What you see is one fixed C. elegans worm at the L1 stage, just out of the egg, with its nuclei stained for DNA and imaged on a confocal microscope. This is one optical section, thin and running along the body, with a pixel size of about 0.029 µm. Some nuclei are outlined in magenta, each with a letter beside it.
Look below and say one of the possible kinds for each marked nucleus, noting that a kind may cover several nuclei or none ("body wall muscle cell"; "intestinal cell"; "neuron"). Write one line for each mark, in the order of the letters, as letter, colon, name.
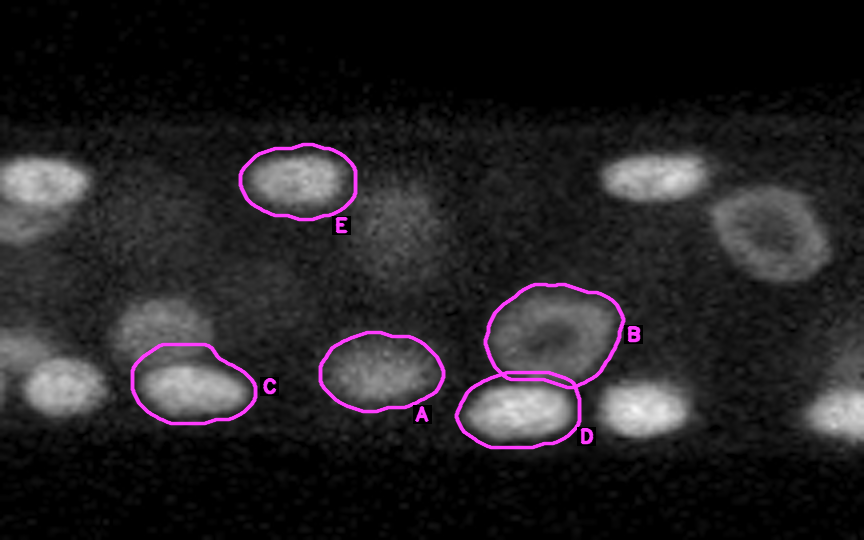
A: body wall muscle cell
B: intestinal cell
C: neuron
D: neuron
E: body wall muscle cell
